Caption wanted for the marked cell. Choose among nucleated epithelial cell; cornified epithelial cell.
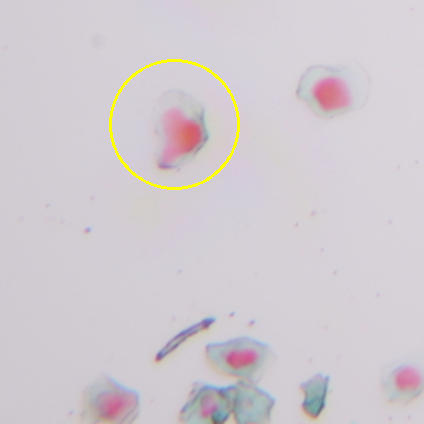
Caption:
Ringed in yellow is a nucleated epithelial cell.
